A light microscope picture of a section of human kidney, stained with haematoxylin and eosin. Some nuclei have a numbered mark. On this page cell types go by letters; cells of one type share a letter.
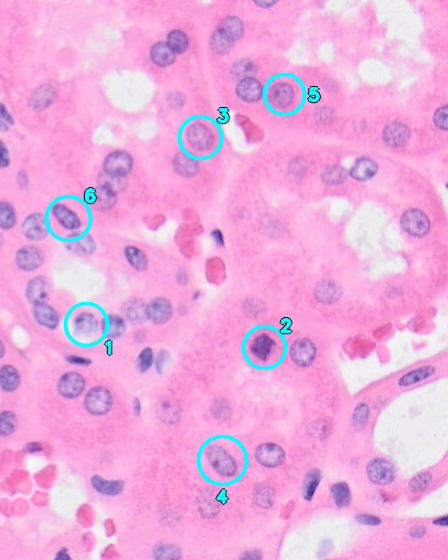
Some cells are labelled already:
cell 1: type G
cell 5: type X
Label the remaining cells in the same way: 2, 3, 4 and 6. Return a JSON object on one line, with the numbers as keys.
{"2": "type X", "3": "type X", "4": "type X", "6": "type G"}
